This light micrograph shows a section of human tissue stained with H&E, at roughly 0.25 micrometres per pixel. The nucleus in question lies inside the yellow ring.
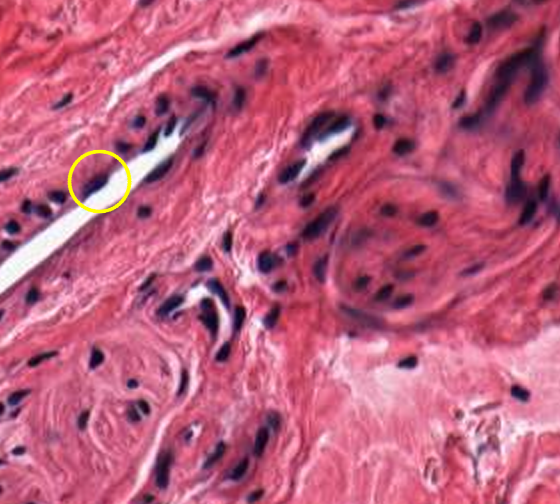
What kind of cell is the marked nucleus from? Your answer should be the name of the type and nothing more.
endothelial cell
